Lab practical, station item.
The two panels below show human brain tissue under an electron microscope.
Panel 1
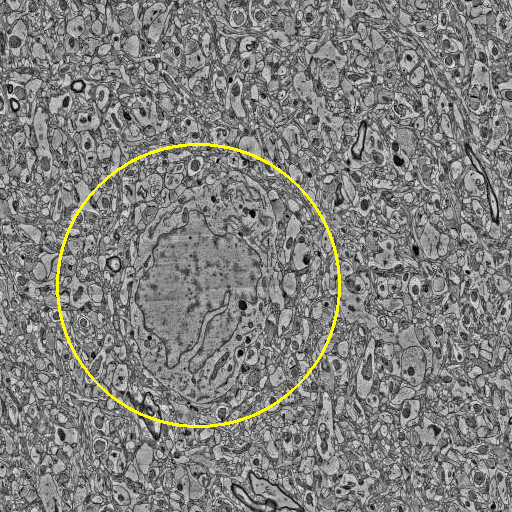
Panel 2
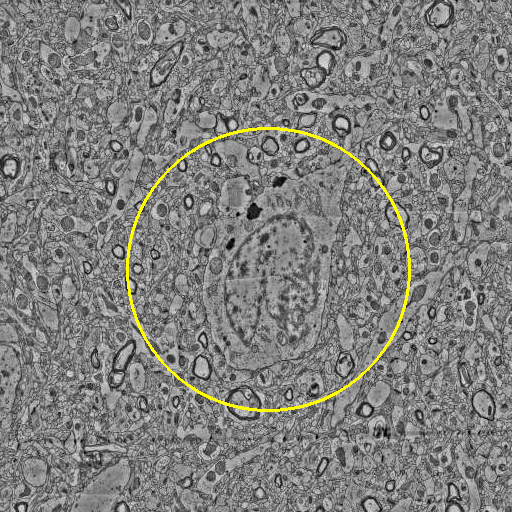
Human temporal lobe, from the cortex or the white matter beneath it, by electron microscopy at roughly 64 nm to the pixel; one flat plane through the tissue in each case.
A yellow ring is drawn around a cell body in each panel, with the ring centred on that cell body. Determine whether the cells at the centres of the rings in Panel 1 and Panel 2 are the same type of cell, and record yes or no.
yes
